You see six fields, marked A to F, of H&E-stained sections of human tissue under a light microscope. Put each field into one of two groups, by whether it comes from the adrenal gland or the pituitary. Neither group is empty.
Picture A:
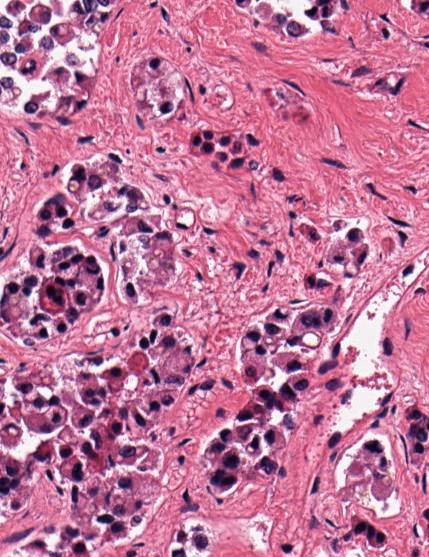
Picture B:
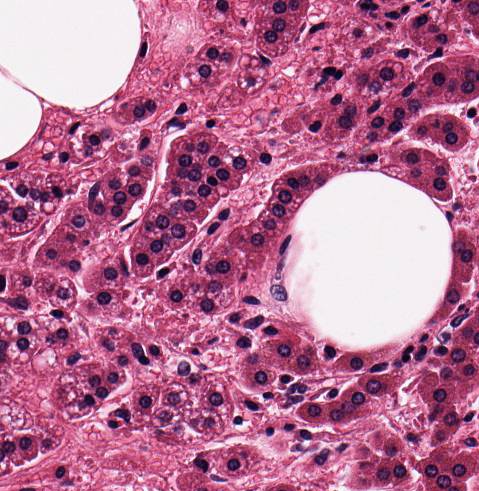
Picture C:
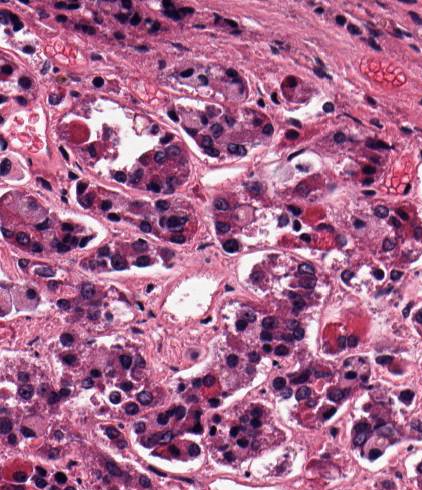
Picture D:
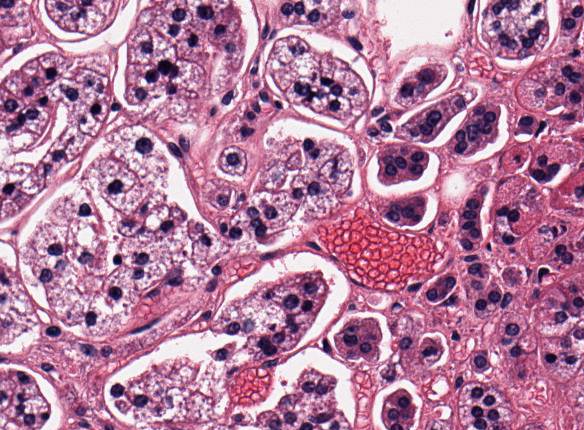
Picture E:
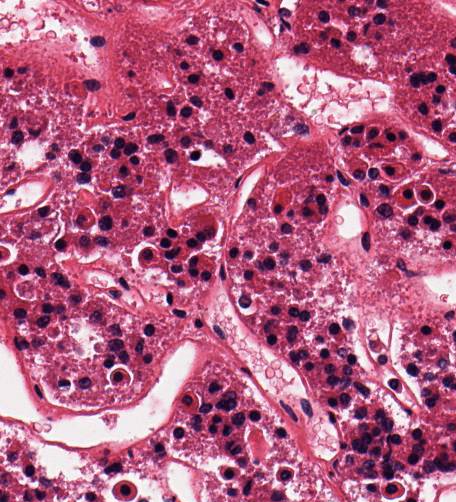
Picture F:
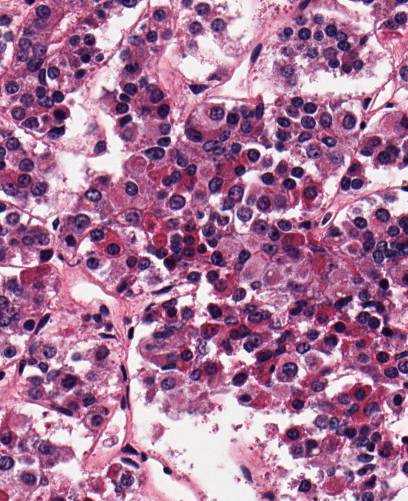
A: pituitary
B: adrenal gland
C: pituitary
D: adrenal gland
E: pituitary
F: pituitary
